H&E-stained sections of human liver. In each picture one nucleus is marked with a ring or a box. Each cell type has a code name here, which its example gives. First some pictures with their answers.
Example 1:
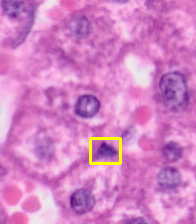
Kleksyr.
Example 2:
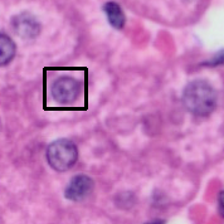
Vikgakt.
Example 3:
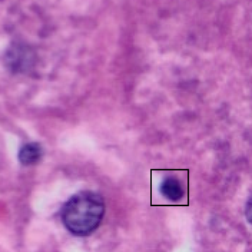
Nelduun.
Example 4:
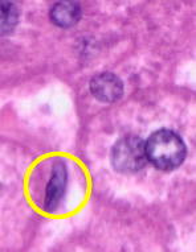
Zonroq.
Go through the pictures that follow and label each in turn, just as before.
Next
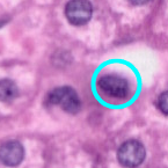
Zonroq.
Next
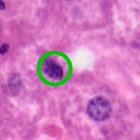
Kleksyr.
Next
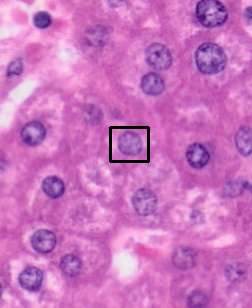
Vikgakt.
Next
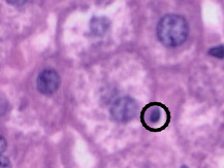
Nelduun.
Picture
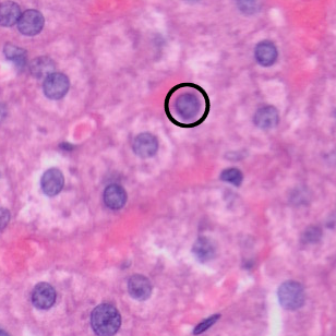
Vikgakt.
